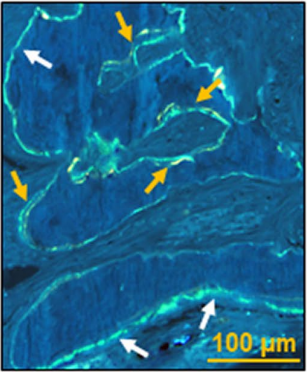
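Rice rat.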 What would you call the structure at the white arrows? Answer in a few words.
Single-labels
